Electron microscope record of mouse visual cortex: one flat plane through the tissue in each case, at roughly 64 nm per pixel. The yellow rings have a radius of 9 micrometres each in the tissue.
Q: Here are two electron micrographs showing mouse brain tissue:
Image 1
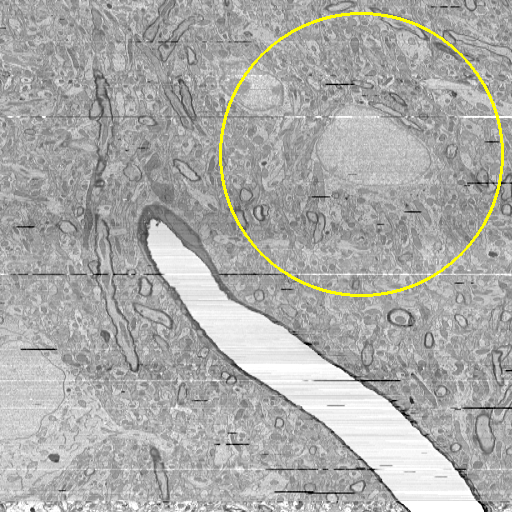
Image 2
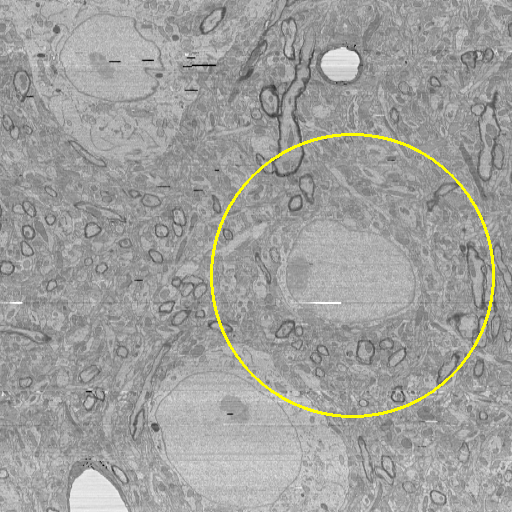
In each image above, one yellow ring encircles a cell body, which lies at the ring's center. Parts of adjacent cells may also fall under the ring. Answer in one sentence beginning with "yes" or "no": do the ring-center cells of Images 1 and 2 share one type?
Yes, in Images 1 and 2, the ring-center cells are both of one type.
